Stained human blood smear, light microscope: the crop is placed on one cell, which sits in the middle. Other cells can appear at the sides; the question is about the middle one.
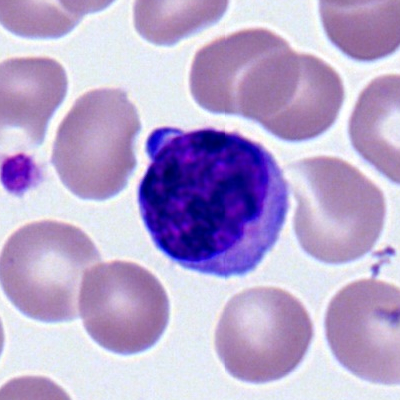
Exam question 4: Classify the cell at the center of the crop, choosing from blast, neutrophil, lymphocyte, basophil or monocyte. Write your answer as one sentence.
As for the cell in the middle, it is a lymphocyte.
